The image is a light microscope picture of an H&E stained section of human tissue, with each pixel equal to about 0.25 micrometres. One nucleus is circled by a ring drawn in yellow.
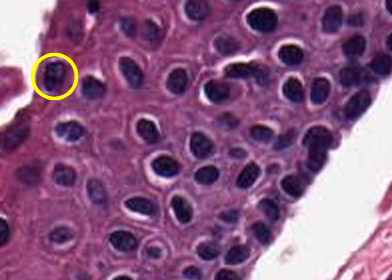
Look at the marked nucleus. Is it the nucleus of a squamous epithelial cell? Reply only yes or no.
yes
